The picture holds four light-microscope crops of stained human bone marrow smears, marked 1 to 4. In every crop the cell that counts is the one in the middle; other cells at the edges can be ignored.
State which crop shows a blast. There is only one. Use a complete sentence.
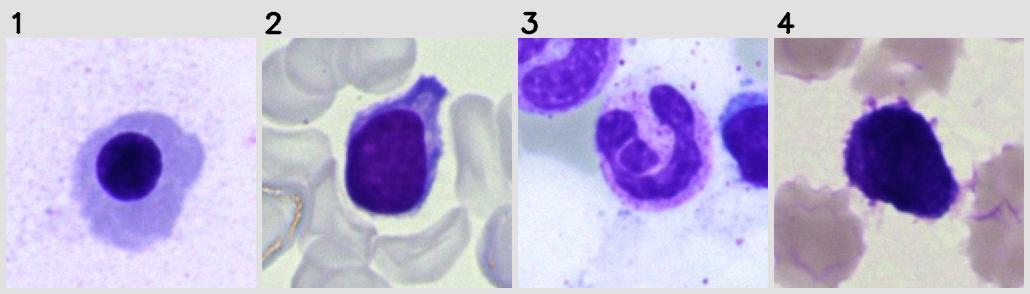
In this set, crop 4 is the one showing a blast.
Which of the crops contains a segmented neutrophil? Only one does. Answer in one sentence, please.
Among all the crops given here, the one with a segmented neutrophil is crop 3.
